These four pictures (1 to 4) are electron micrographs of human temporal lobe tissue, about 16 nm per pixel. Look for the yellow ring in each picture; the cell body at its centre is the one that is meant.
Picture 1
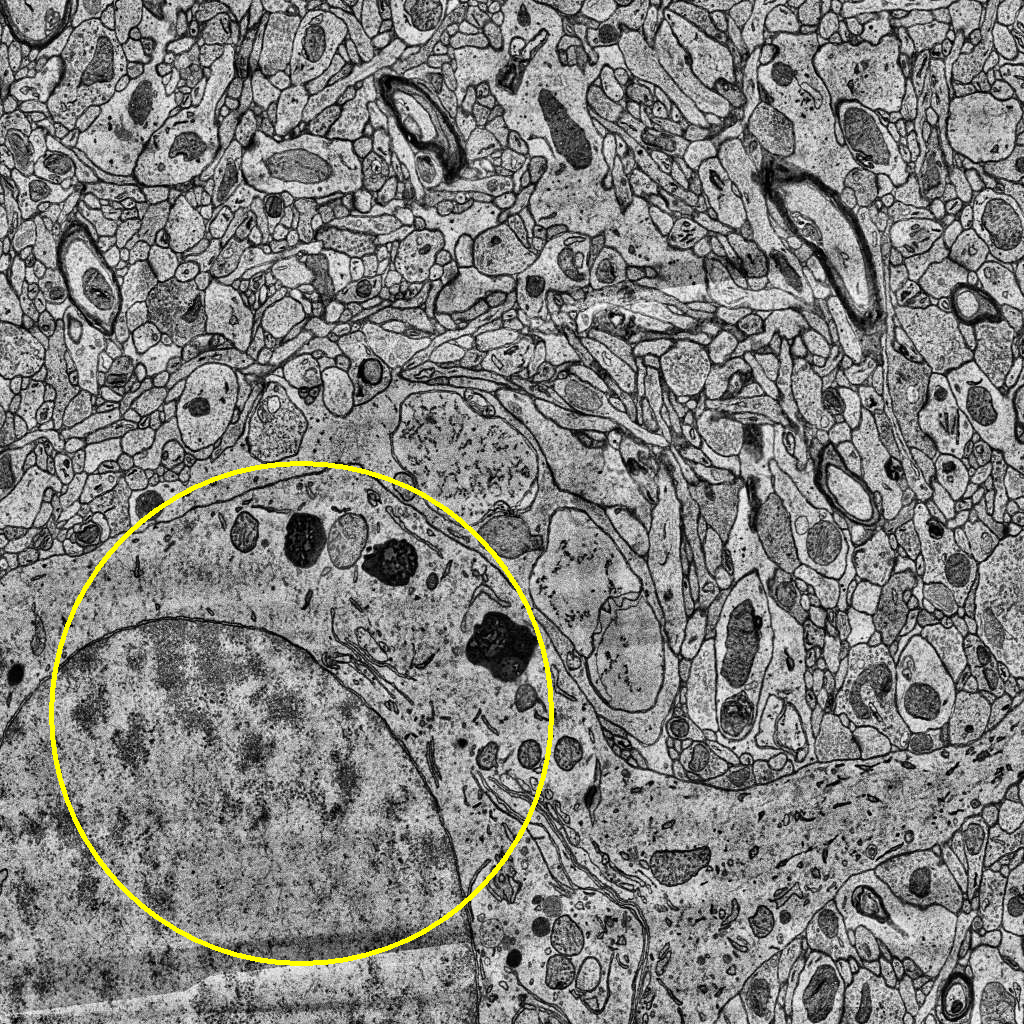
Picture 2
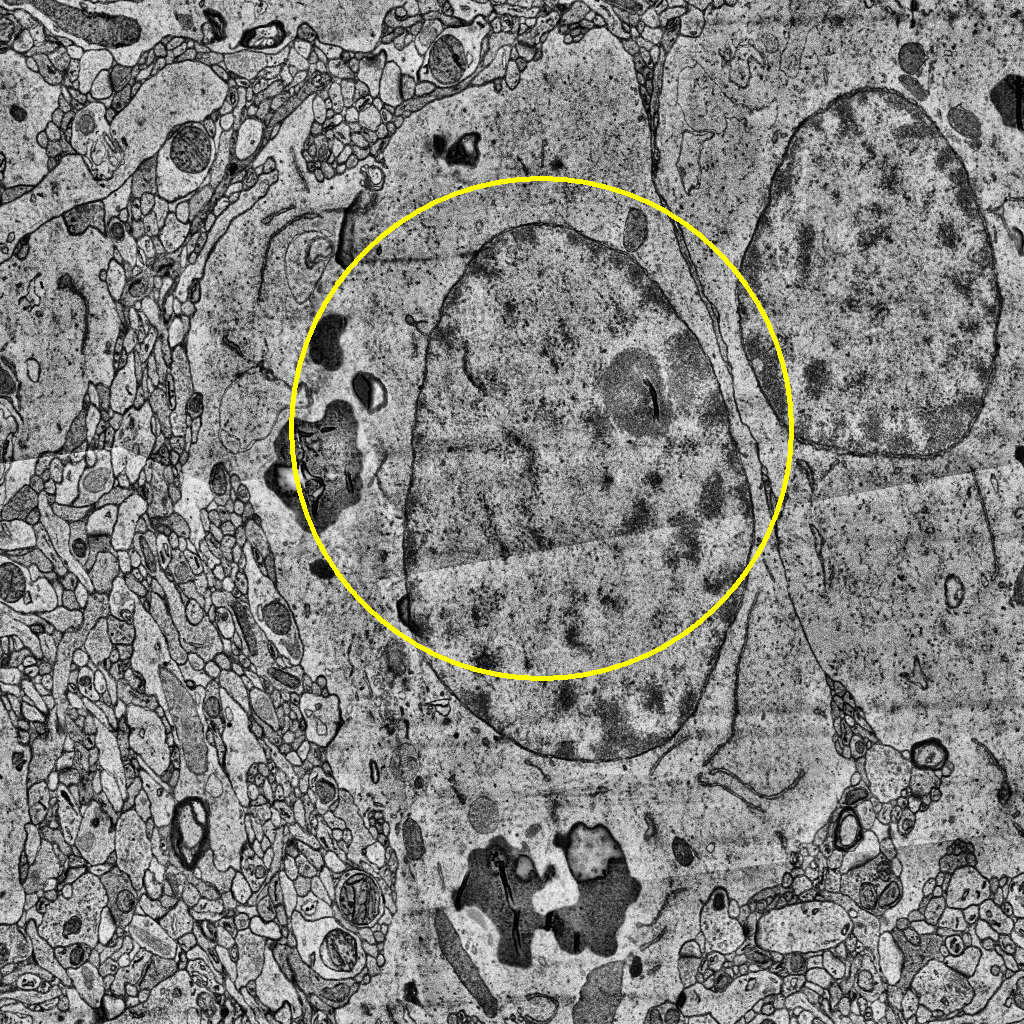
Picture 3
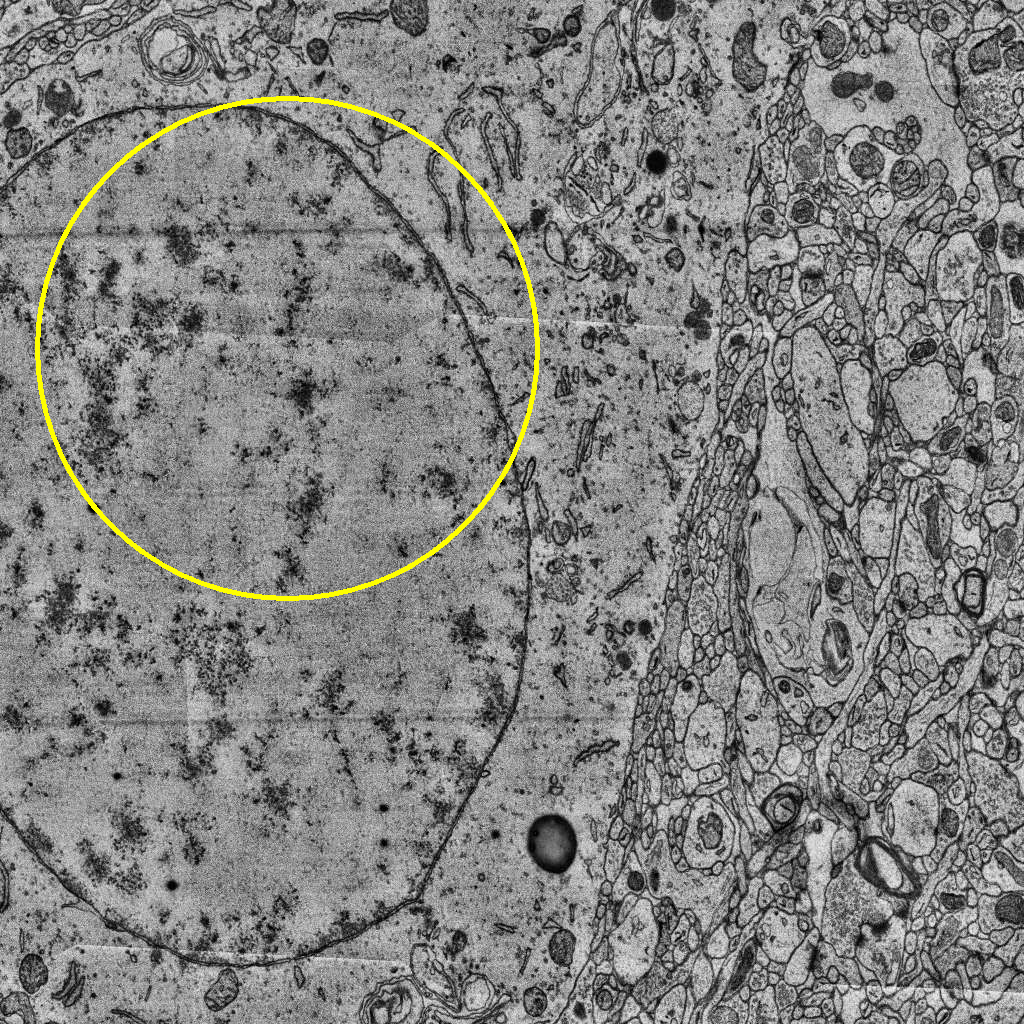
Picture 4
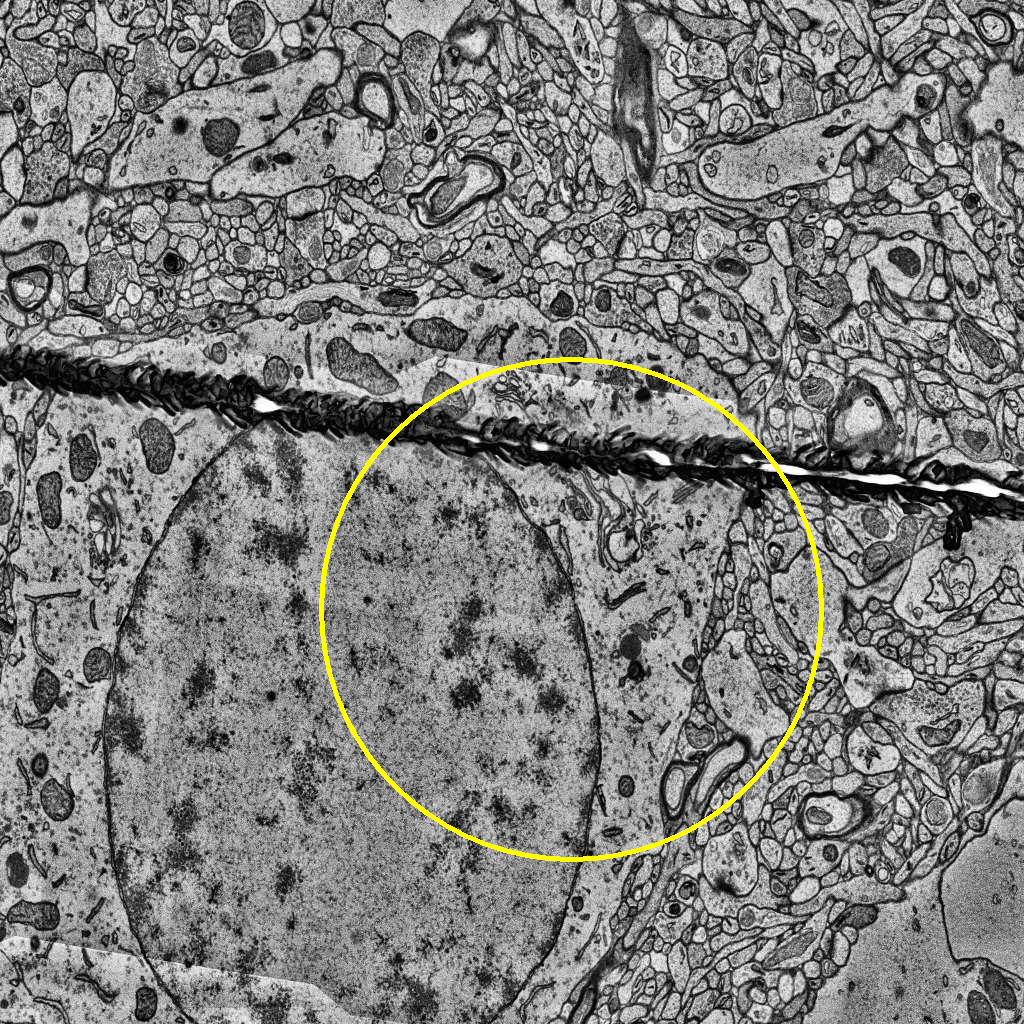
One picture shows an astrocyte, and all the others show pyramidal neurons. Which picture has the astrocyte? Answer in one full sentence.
The picture with the astrocyte is 2.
